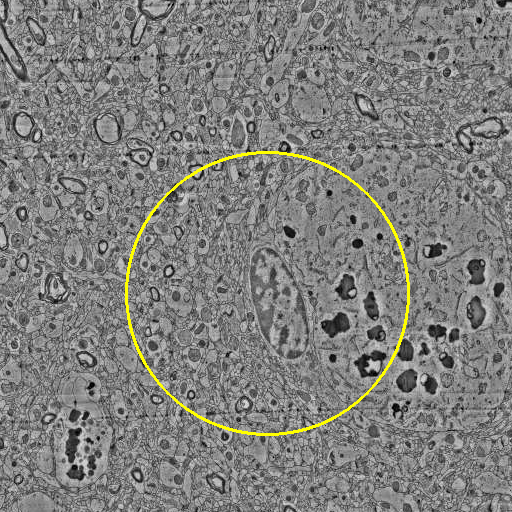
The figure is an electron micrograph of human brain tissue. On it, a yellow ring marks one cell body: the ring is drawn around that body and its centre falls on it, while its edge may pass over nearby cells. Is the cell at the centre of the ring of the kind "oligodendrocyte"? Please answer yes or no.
no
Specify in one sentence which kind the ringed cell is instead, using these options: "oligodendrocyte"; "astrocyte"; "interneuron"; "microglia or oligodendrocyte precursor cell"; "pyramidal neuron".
The cell enclosed by the ring is a microglial cell or oligodendrocyte precursor cell.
